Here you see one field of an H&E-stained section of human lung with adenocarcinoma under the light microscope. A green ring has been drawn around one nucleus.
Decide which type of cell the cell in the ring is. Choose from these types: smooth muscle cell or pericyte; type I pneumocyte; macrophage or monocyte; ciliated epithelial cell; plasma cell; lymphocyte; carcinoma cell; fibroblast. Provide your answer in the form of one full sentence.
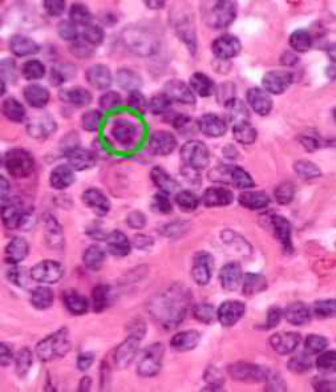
In this tissue sample, the cell in the ring is a lymphocyte.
